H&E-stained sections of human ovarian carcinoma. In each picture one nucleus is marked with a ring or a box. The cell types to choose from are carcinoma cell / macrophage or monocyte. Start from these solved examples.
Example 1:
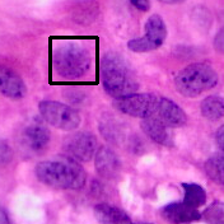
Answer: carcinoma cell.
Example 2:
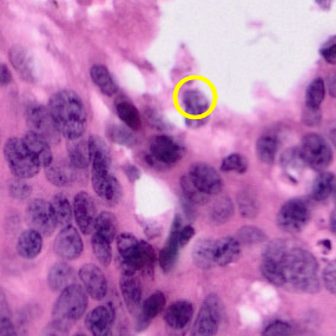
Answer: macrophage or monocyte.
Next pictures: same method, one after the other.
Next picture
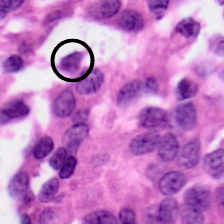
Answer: carcinoma cell.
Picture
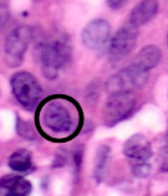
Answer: carcinoma cell.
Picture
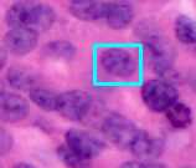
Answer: carcinoma cell.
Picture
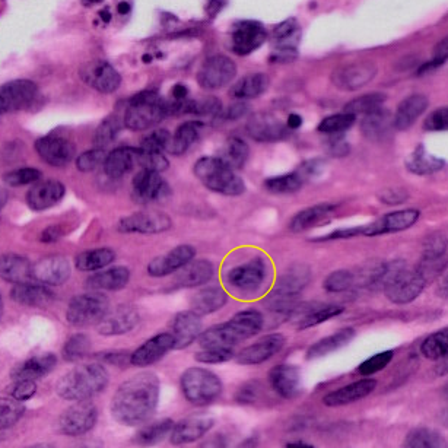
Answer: macrophage or monocyte.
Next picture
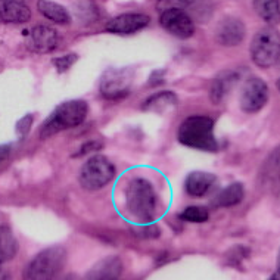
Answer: carcinoma cell.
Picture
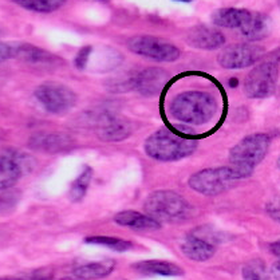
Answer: carcinoma cell.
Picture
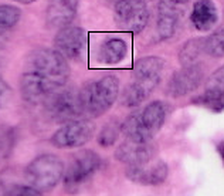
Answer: macrophage or monocyte.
